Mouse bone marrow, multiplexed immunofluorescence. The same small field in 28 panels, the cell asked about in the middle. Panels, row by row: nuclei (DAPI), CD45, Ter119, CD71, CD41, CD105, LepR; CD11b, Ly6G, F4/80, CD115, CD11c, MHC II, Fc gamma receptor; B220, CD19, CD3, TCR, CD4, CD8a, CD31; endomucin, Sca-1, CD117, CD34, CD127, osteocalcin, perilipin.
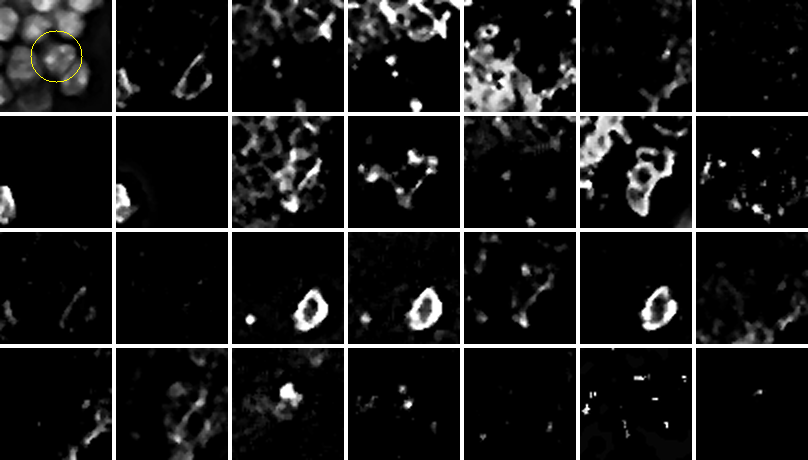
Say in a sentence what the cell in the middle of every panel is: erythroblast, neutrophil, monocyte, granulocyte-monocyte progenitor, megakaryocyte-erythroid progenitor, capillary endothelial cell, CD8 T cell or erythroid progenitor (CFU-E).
This is a megakaryocyte-erythroid progenitor.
